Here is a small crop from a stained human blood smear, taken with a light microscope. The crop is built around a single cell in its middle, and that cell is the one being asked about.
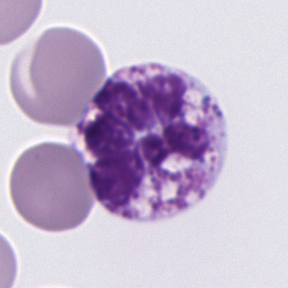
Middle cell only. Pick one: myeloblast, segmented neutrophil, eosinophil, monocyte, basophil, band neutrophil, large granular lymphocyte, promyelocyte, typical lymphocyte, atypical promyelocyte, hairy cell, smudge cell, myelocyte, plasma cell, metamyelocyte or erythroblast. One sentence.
Looking at the middle of the crop, the cell there is a basophil.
